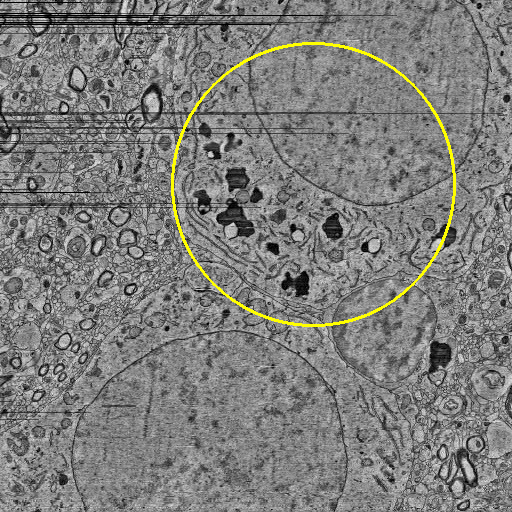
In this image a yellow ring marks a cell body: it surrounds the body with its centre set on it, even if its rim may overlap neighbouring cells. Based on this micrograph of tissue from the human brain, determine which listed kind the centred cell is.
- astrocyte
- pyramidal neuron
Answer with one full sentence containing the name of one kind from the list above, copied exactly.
It is a pyramidal neuron whose body the yellow ring encloses at its centre.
